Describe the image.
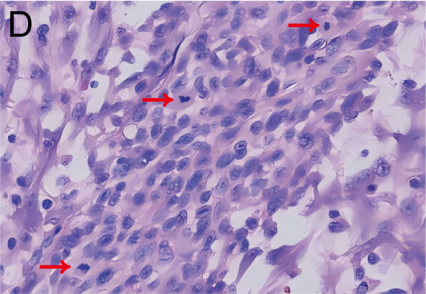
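At high power, the tumor cells are packed closely and have oval, somewhat irregular nuclei with fine chromatin and pink cytoplasm. The red arrows mark mitotic figures, which are small, dark clumps of condensed chromatin standing out against the paler nuclei around them.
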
